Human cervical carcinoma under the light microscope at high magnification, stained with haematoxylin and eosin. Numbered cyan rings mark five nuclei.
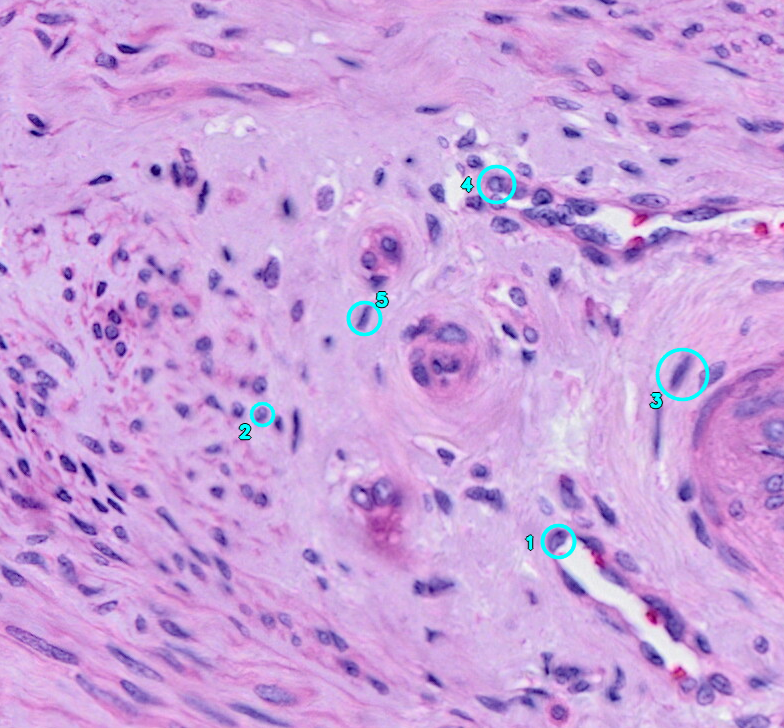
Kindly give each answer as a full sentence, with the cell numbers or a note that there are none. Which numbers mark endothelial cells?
So, the cells with numbers 1 and 4 are endothelial cells.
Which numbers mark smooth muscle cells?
Only the nucleus marked 2 is that of a smooth muscle cell.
